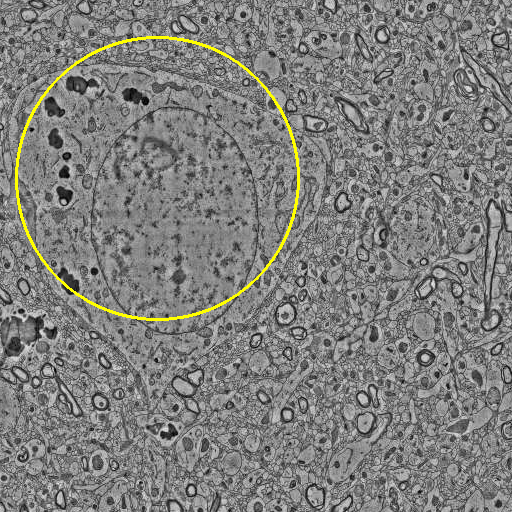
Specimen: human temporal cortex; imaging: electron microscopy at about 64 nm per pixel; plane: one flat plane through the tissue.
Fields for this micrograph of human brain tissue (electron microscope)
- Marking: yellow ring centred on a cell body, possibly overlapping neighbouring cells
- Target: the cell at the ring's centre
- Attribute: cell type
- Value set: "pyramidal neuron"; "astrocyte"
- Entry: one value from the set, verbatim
pyramidal neuron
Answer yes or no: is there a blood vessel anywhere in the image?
No.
